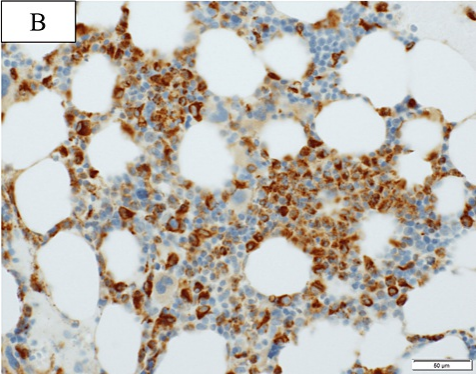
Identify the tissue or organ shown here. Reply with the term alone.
Bone marrow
